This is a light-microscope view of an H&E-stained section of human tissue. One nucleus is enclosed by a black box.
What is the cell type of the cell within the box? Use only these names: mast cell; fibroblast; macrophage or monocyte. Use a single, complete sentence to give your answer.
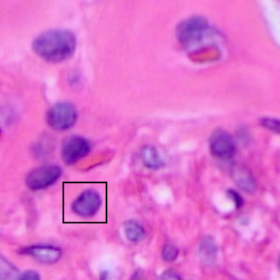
In the stained section, the cell within the box is a mast cell.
